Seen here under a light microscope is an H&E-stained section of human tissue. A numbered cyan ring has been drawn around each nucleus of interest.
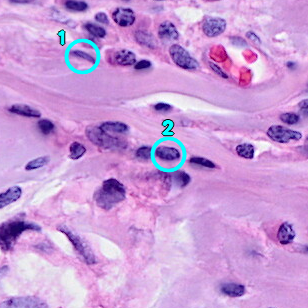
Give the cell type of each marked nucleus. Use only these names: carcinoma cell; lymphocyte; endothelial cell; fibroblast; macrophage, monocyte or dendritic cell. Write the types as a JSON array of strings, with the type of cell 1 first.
["fibroblast", "lymphocyte"]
